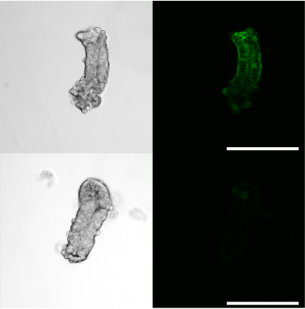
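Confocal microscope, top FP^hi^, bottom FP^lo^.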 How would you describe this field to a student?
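Two small elongated, slightly curved tubes of epithelium lie free in the field. Each is shown twice, once in grey interference contrast and once as fluorescence. In the fluorescence images the upper tube glows green along its wall, while the lower tube is almost dark. These are isolated intestinal glands, the crypts, freed from the rest of the tissue.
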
